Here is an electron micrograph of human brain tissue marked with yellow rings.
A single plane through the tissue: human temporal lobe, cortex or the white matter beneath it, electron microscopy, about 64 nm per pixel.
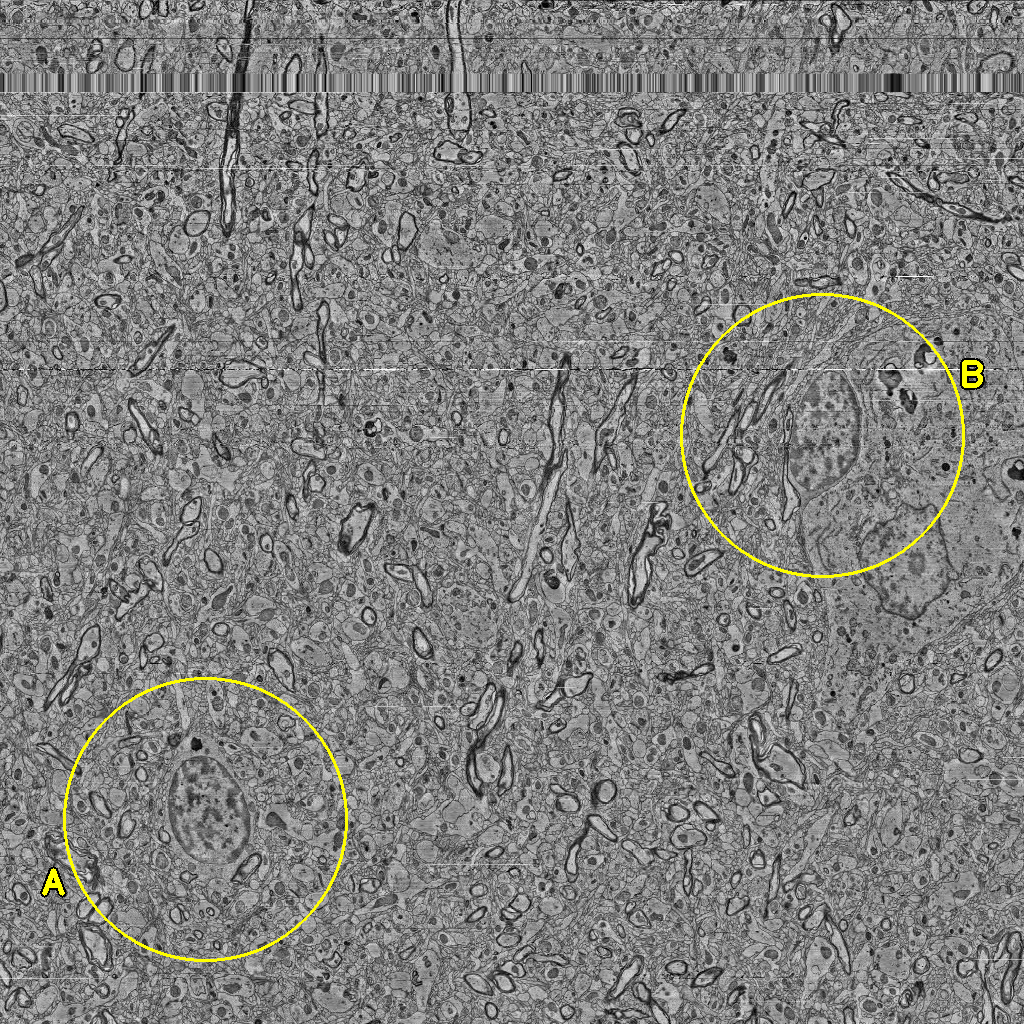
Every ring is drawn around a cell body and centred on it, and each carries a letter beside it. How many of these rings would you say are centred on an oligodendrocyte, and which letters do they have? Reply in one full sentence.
There exist two rings lettered A and B, and an oligodendrocyte lies at the centre of each.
